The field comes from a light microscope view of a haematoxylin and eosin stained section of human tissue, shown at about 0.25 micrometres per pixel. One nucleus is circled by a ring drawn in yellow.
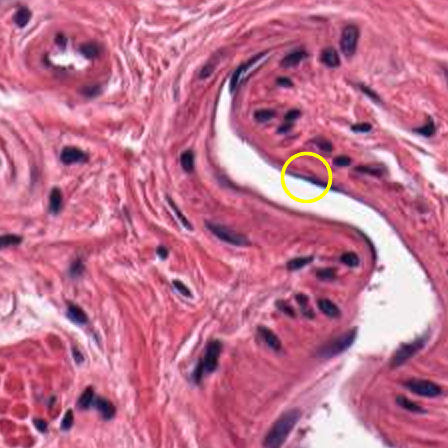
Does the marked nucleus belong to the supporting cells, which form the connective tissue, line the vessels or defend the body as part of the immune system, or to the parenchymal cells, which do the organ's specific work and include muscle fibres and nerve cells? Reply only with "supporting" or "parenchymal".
supporting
